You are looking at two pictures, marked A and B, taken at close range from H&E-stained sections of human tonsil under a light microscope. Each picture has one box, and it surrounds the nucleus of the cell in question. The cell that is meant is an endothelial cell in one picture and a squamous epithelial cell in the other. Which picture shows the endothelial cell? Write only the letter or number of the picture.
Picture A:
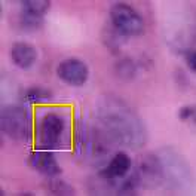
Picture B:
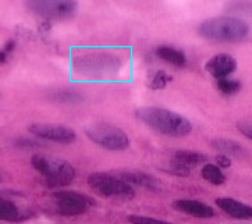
A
